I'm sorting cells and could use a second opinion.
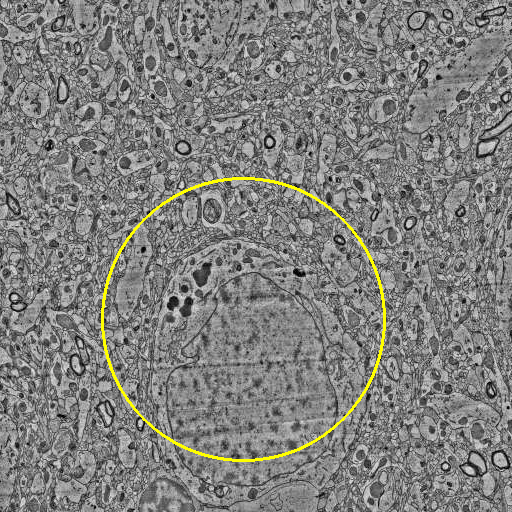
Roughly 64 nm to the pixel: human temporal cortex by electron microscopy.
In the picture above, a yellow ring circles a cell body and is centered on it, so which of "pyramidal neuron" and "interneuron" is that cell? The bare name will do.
interneuron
